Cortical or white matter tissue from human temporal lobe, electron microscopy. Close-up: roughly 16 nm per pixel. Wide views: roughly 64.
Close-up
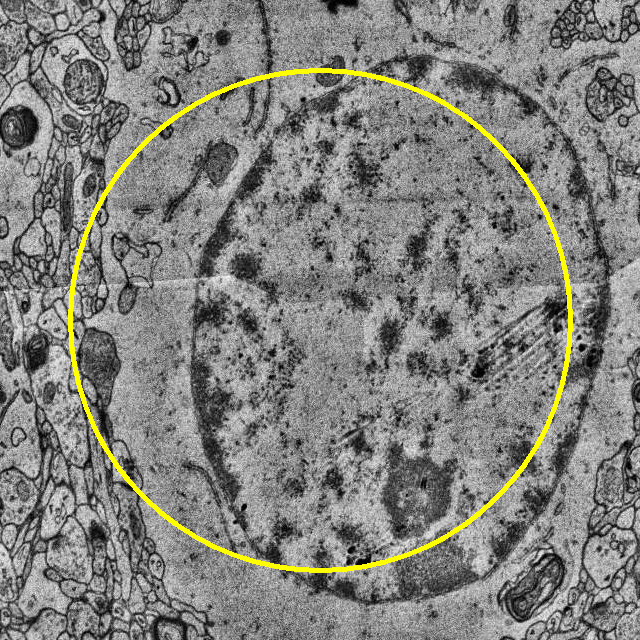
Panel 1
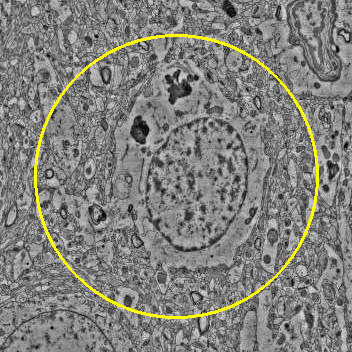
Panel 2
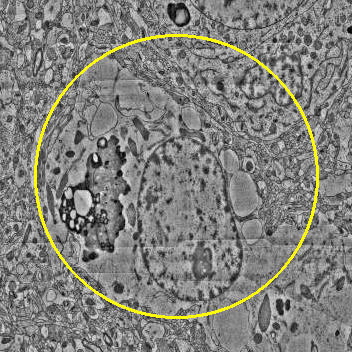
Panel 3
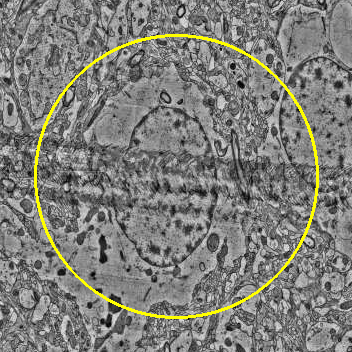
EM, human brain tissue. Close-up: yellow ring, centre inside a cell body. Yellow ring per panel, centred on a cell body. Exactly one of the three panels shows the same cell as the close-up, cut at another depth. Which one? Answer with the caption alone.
Panel 1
